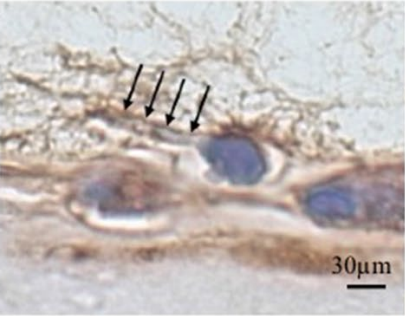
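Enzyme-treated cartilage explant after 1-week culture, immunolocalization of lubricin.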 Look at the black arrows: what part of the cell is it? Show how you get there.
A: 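Pseudopodia. Thin brown processes run from the cell toward the overlying fibrous matrix. The arrows point along these fine extensions beside a cell with a blue nucleus.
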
